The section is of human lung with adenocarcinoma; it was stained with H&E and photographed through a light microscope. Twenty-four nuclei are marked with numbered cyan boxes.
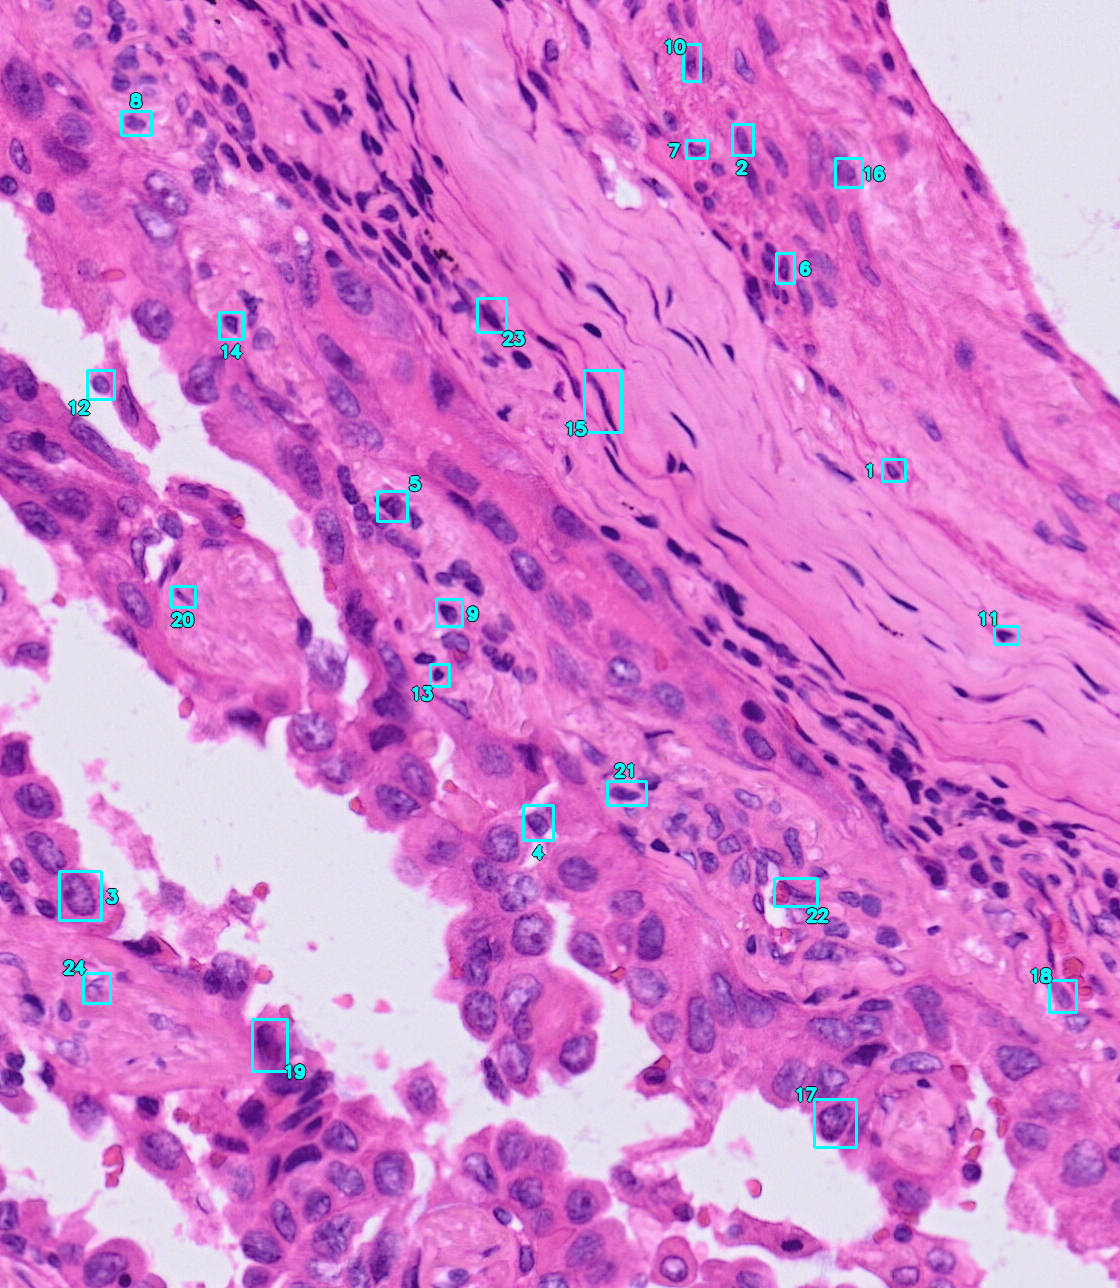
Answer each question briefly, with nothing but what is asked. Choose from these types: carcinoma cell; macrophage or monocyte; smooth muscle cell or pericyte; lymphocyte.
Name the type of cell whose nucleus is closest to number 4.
carcinoma cell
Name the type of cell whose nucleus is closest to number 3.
lymphocyte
